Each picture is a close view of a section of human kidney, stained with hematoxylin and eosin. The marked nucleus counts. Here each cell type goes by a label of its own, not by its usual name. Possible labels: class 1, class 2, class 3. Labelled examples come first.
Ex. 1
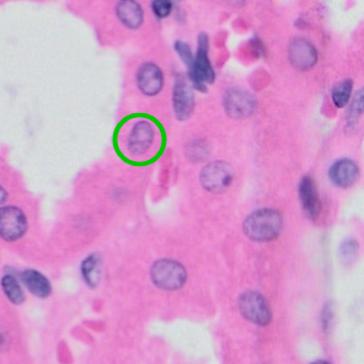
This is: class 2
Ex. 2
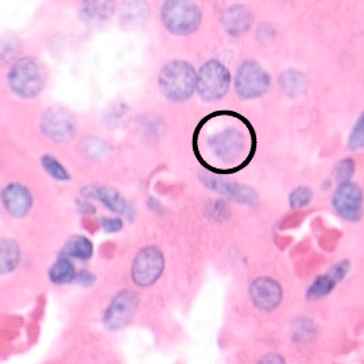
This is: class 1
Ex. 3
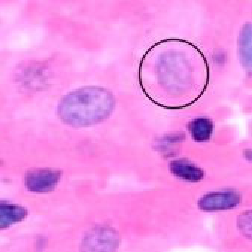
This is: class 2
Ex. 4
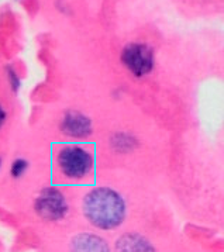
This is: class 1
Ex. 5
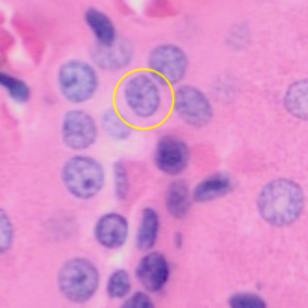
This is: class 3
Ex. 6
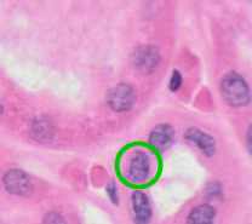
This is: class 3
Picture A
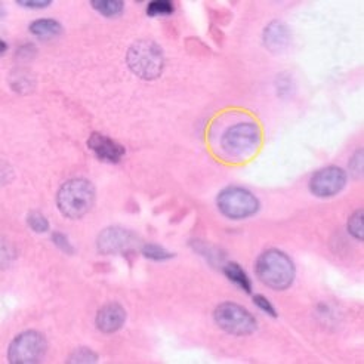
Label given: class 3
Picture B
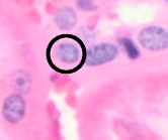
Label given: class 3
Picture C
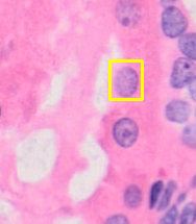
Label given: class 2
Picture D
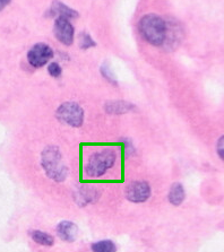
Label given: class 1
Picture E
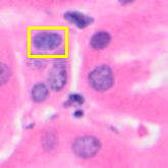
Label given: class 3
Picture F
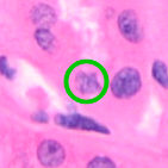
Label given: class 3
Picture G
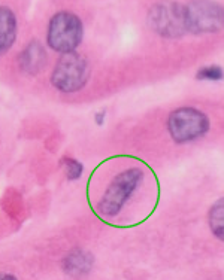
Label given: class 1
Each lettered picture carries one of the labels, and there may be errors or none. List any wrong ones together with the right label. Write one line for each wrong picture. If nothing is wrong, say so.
G: change class 1 to class 2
